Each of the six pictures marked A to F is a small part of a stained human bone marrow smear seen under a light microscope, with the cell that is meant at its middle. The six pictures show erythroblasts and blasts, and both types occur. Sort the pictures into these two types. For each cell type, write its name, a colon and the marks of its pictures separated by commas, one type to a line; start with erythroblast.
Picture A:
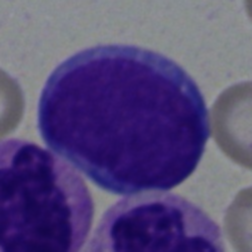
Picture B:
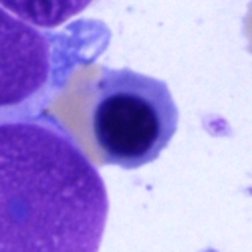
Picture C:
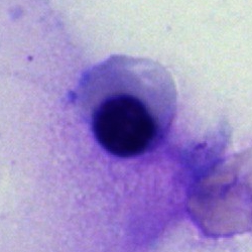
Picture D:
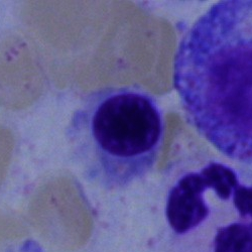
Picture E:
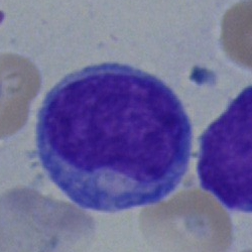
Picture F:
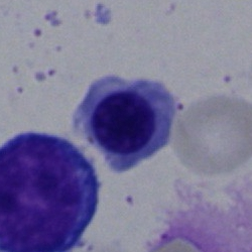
erythroblast: B, C, D, F
blast: A, E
